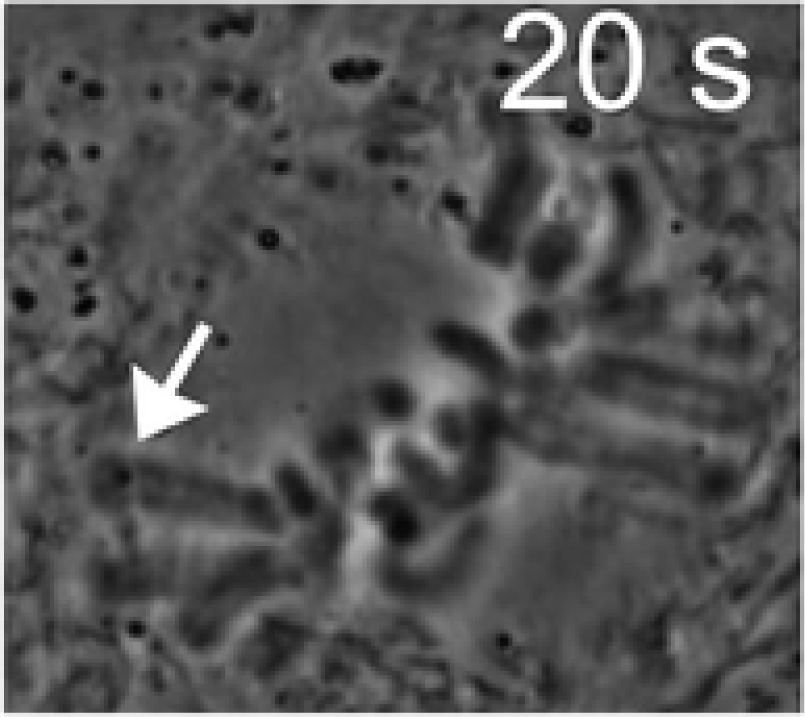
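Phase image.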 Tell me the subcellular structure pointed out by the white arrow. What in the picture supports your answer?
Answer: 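The arrow points at one of many dark, rod-shaped bodies. The rods are condensed and lie free in the cell without a nuclear outline. That points to this answer: chromosome.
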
